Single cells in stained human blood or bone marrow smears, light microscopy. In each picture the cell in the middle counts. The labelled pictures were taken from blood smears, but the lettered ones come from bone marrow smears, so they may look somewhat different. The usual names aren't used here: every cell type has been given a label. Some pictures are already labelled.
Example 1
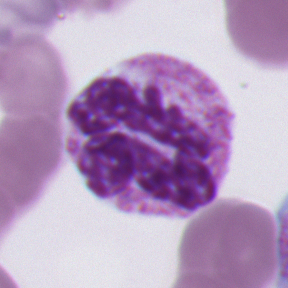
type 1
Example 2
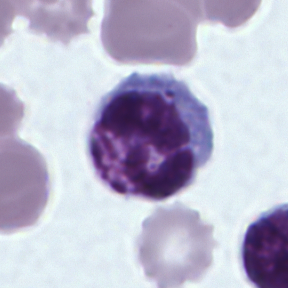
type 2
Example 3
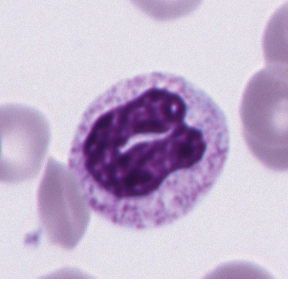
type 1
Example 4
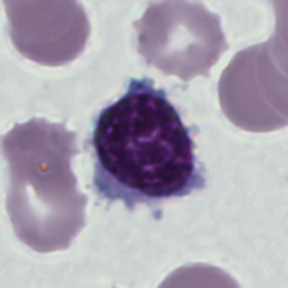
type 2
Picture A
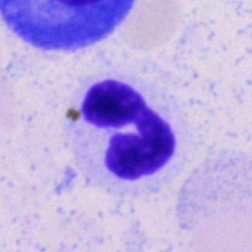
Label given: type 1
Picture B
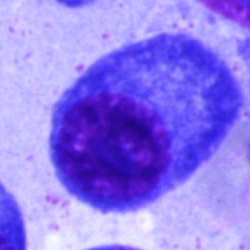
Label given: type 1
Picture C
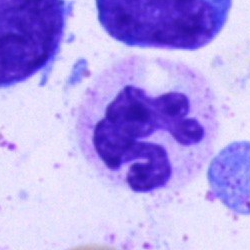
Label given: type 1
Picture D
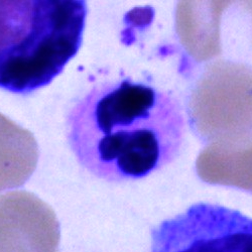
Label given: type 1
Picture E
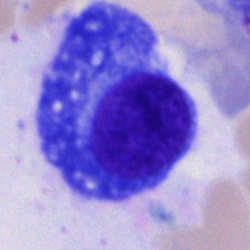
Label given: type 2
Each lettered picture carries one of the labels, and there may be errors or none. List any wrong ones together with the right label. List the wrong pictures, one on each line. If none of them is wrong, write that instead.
B: not type 1 but type 2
